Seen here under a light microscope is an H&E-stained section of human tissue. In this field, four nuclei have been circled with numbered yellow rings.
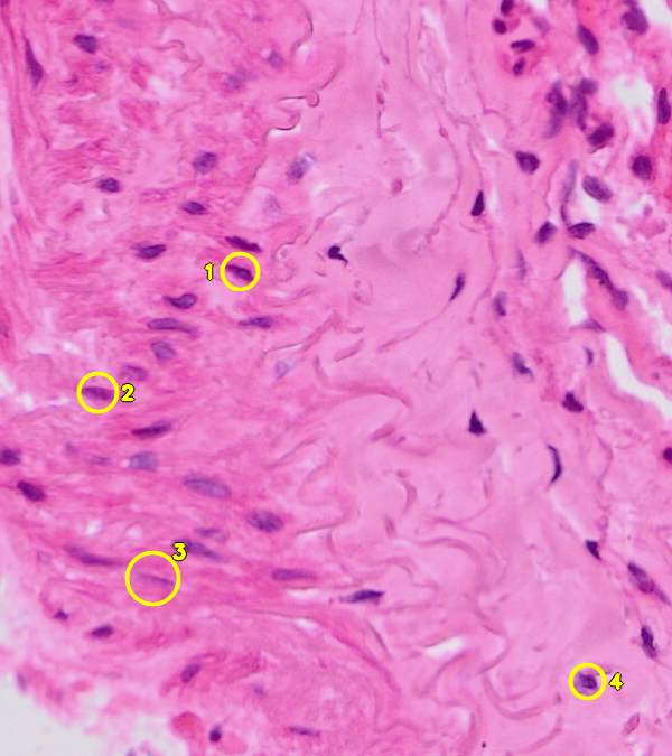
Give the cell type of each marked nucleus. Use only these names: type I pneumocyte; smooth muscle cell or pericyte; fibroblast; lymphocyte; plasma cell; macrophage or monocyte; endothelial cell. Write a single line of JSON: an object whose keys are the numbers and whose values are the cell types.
{"1": "smooth muscle cell or pericyte", "2": "smooth muscle cell or pericyte", "3": "smooth muscle cell or pericyte", "4": "fibroblast"}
